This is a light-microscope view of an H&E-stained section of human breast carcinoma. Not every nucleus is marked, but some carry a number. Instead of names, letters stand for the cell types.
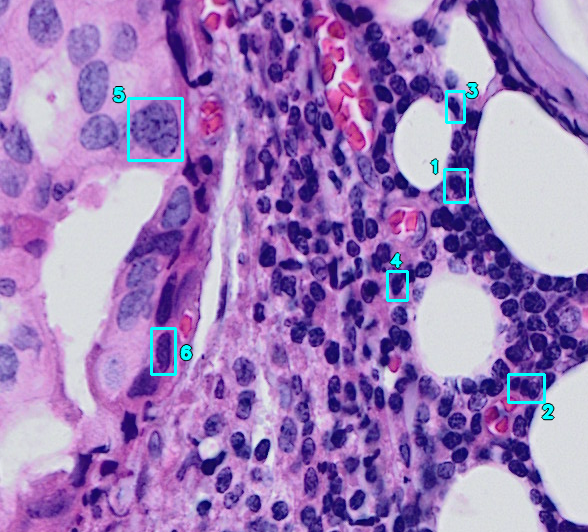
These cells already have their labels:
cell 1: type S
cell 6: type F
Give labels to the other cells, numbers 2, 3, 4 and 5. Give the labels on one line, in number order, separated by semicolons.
type S; type S; type S; type F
